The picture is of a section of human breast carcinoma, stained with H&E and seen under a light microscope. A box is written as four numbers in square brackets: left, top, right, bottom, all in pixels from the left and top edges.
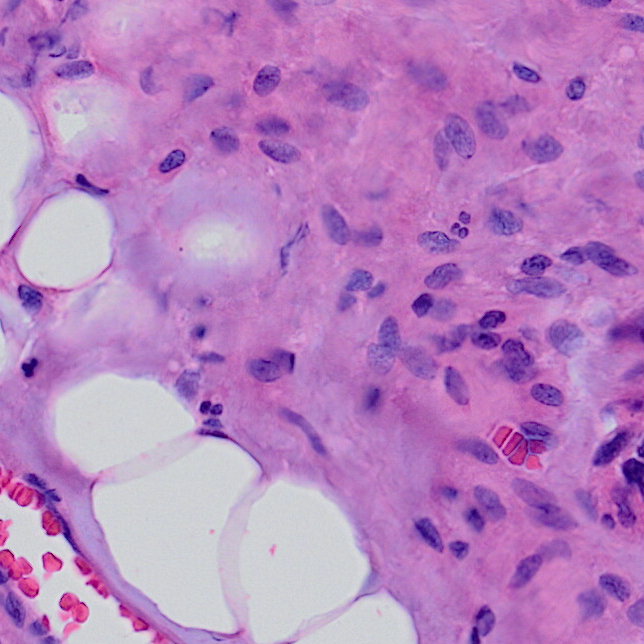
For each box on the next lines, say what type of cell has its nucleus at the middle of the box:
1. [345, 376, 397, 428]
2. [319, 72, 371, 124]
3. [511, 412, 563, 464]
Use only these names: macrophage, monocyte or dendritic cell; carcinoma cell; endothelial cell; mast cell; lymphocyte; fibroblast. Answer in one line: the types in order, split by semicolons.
fibroblast; fibroblast; endothelial cell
